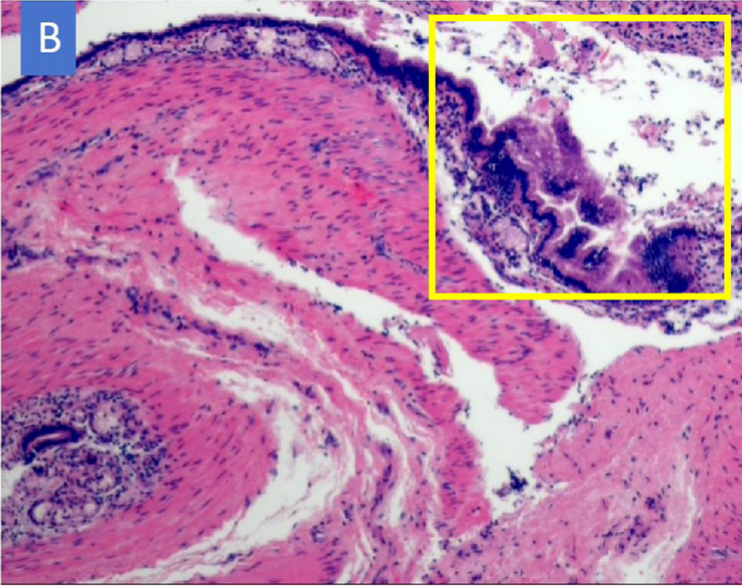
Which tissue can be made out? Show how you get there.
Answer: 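Muscular layers. Most of the panel is pink tissue of bundled spindle cells with elongated nuclei. A thin purple epithelial lining runs along the top edge of the muscle.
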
